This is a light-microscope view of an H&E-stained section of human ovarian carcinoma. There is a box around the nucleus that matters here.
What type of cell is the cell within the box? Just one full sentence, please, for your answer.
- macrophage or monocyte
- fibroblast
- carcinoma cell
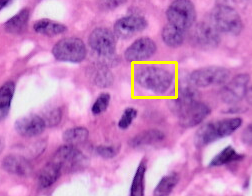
Just put down that the cell within the box is a carcinoma cell.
